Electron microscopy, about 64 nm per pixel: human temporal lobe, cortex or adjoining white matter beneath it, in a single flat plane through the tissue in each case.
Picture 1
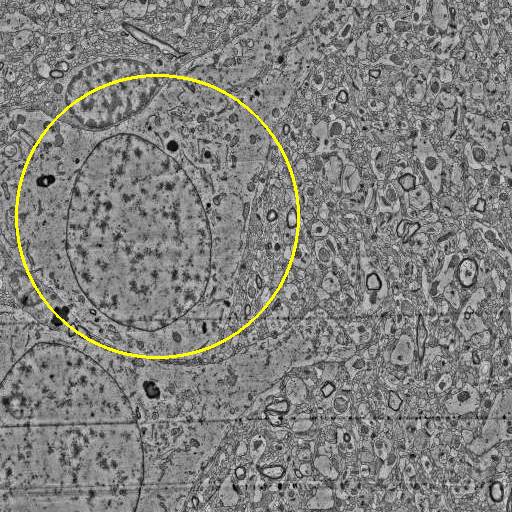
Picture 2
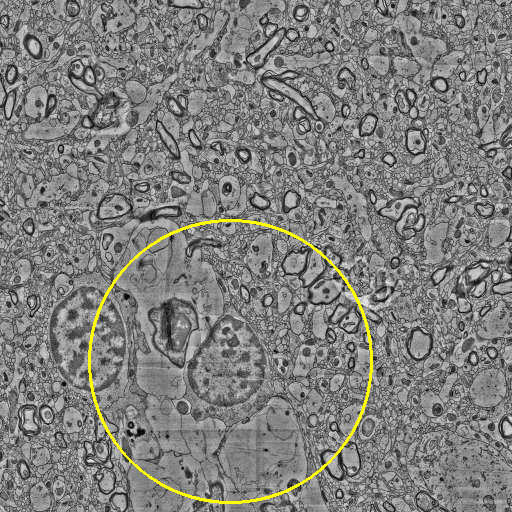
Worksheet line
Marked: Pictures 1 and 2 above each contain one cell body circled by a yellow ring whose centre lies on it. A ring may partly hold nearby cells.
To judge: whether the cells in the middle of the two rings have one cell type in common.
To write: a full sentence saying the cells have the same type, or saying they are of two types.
The cells in the middle of the rings in Picture 1 and Picture 2 are of two types.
